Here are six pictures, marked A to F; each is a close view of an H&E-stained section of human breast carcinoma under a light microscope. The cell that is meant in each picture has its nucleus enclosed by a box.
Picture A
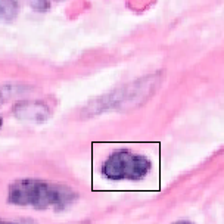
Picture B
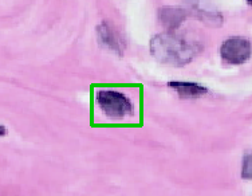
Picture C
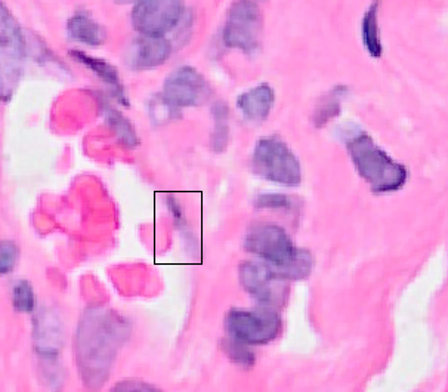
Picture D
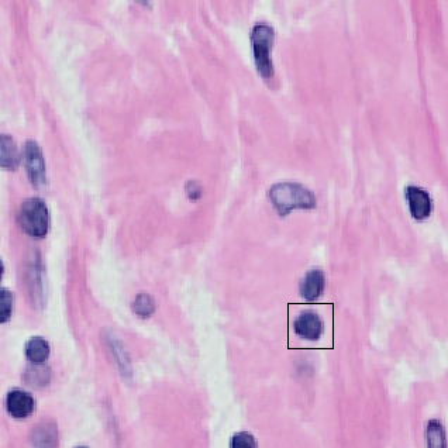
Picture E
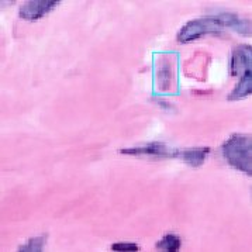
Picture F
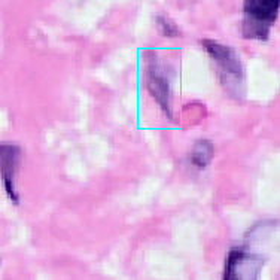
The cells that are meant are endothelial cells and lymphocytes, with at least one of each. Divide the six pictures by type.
A: lymphocyte
B: lymphocyte
C: endothelial cell
D: lymphocyte
E: endothelial cell
F: endothelial cell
